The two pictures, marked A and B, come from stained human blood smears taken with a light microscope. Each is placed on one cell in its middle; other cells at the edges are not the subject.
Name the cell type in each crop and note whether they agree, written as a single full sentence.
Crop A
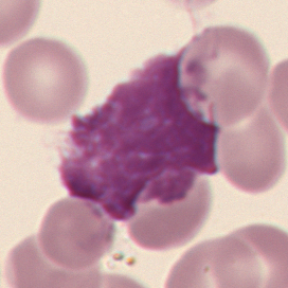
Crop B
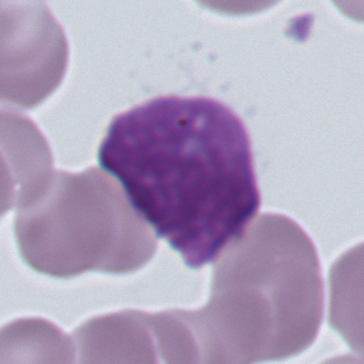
Yes, put down smudge cells for both crops.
